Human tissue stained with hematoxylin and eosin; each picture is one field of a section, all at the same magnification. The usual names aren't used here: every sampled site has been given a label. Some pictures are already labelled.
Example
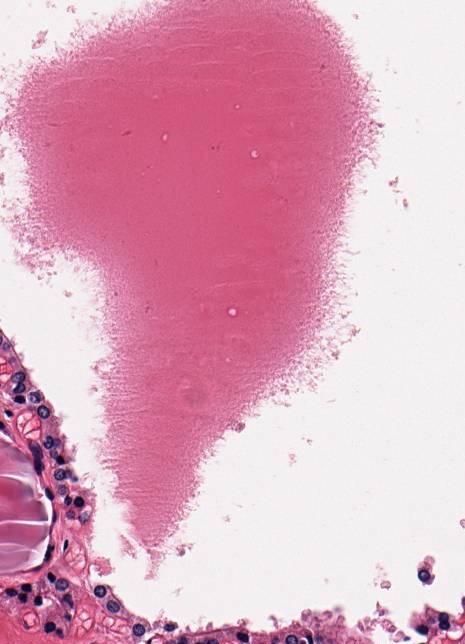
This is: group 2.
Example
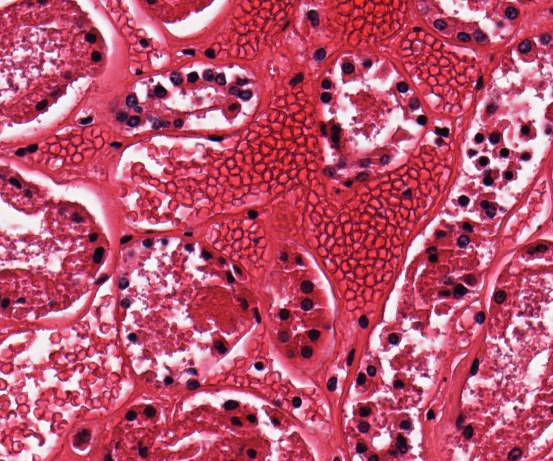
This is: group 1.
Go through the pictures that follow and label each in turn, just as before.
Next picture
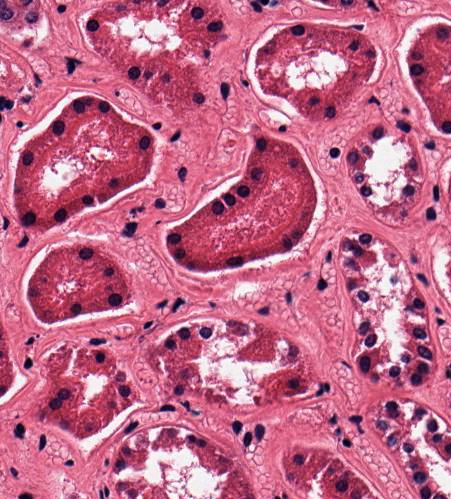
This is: group 1.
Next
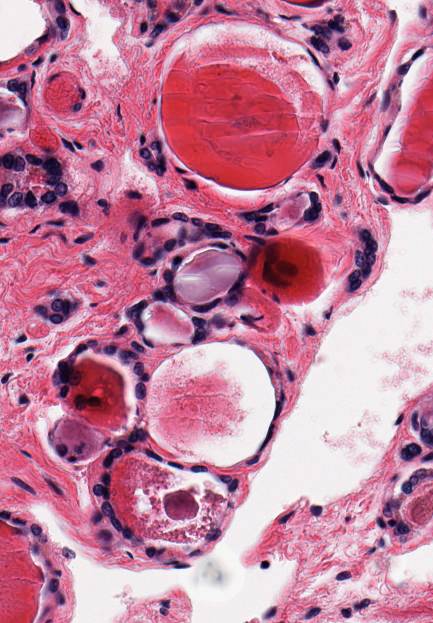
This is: group 2.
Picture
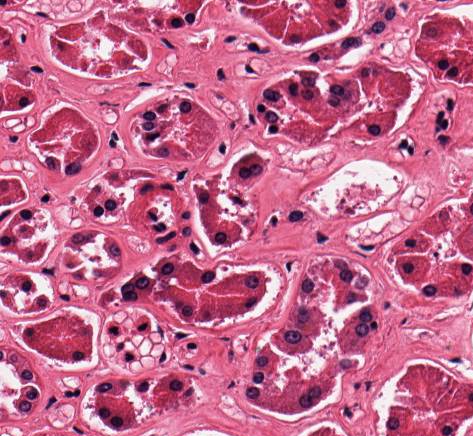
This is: group 1.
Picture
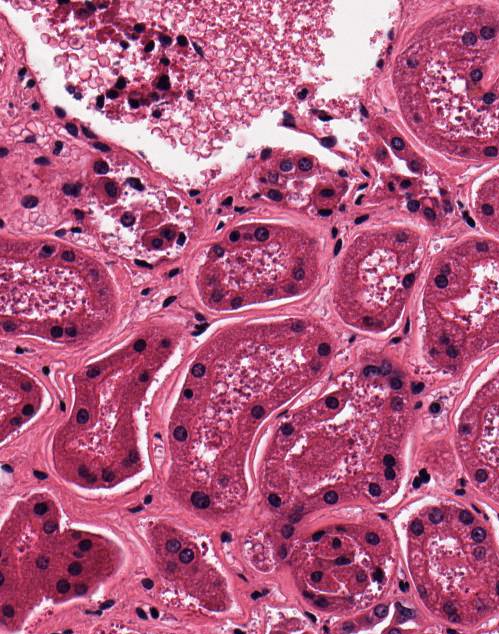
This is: group 1.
